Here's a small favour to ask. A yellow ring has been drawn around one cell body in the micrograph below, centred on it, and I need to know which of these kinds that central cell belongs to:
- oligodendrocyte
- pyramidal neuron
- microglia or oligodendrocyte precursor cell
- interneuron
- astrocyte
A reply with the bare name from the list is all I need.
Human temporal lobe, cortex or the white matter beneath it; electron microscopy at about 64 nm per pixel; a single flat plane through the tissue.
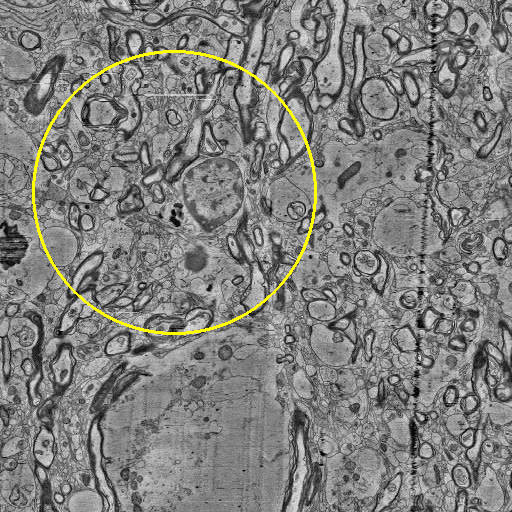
microglia or oligodendrocyte precursor cell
